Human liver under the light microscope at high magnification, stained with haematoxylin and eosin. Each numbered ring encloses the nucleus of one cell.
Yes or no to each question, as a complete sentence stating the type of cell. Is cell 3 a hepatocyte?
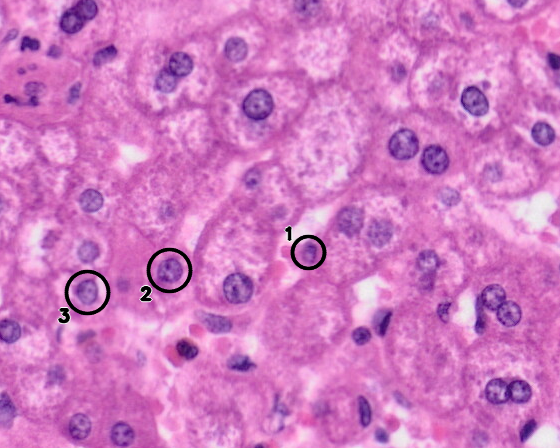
Yes, within this section, cell number 3 is a hepatocyte.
